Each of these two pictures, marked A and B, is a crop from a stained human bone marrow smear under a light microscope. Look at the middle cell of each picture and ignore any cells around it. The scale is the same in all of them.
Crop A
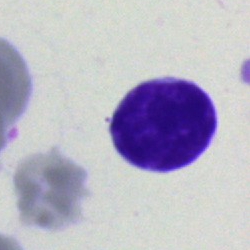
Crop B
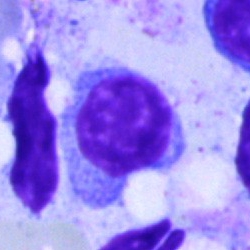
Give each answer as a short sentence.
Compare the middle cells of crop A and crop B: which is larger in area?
Larger is the cell in crop B, at roughly 1.5 times the area of the other.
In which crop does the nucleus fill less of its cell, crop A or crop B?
Of the two, the nucleus in crop B leaves more room for cytoplasm.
